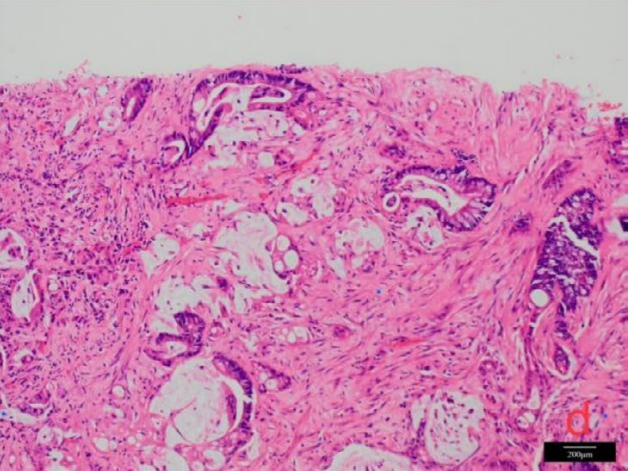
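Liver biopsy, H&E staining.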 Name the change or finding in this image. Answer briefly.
Infiltrative dysplastic glands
